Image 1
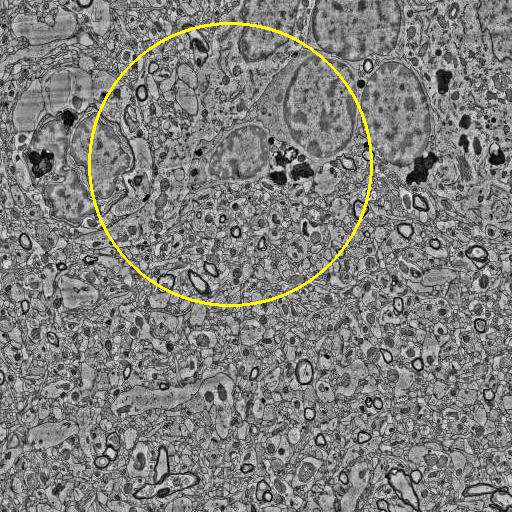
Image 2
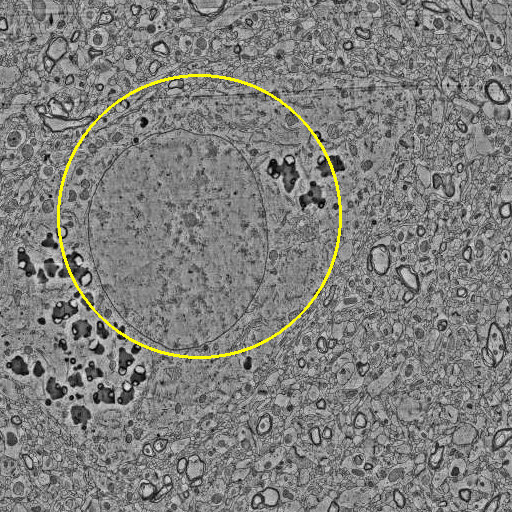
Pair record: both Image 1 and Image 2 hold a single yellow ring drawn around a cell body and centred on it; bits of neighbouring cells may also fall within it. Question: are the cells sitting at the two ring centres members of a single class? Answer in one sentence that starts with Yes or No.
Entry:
No, the ring-centre cells in Image 1 and Image 2 come from two classes.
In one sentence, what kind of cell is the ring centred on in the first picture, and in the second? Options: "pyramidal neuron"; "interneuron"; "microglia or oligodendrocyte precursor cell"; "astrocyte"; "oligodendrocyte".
The cell at the centre of the second ring is a pyramidal neuron; the first ring's cell is an oligodendrocyte.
